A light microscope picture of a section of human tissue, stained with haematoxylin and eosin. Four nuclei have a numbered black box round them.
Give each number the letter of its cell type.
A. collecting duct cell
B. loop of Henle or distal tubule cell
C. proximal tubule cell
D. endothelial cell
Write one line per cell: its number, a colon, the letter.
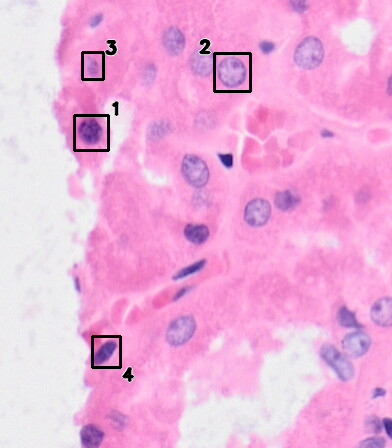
1: C
2: C
3: C
4: D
